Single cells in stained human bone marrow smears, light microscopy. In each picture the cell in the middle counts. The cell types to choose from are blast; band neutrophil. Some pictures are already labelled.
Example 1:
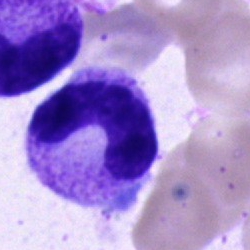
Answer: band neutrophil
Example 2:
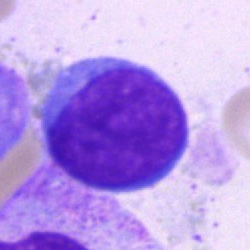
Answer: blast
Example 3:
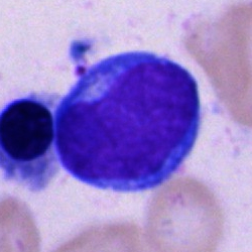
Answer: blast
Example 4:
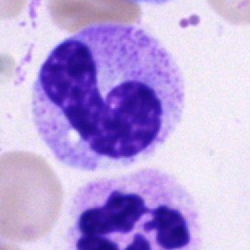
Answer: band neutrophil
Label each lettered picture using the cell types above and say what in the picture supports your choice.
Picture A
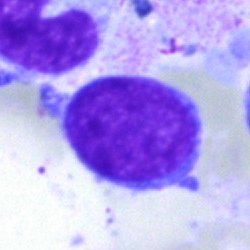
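blast: The cytoplasm is scant, forming only a very thin rim around the nucleus.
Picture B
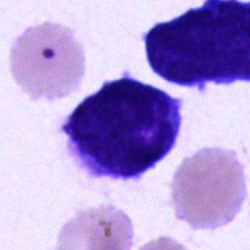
blast: The cytoplasm is scant, seen only as a narrow, slightly paler blue rim at the edge of the cell.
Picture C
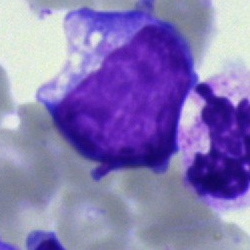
blast: The nucleus is large and fills most of the cell.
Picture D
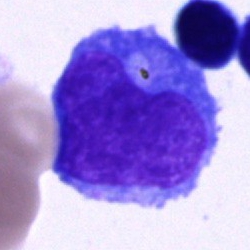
blast: The chromatin is finely stippled and lacy rather than coarsely clumped.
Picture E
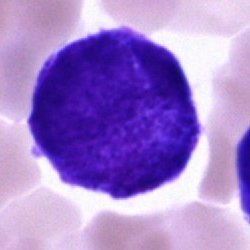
blast: The chromatin looks finely stippled rather than coarsely clumped.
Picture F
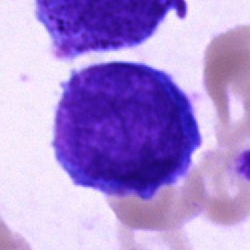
blast: The nucleus fills almost the whole cell.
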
